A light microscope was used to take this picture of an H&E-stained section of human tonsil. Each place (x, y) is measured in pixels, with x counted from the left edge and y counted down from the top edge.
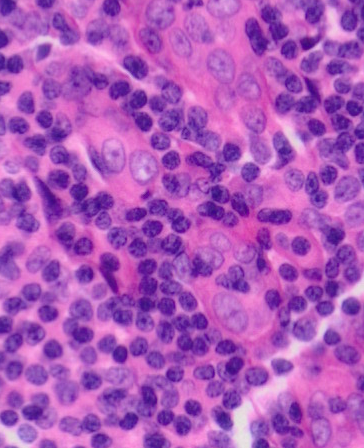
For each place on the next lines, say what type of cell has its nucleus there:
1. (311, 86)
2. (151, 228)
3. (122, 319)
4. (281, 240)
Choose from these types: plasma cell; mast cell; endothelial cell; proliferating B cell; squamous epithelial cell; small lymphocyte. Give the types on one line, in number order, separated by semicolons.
small lymphocyte; small lymphocyte; small lymphocyte; endothelial cell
